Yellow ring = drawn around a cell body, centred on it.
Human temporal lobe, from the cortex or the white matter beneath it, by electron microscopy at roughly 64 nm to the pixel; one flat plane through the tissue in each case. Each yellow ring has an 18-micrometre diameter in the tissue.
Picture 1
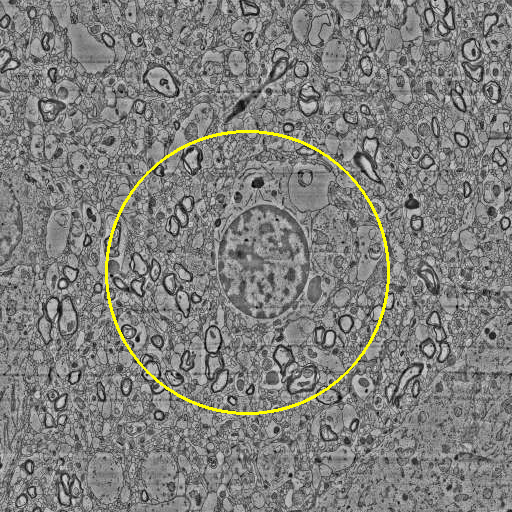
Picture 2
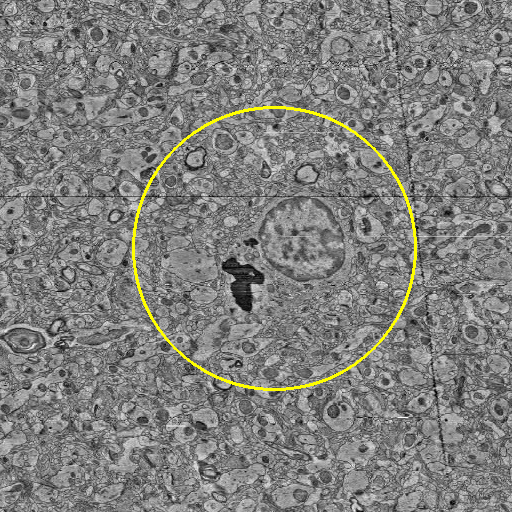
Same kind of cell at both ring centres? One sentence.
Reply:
No, they are two kinds of cell.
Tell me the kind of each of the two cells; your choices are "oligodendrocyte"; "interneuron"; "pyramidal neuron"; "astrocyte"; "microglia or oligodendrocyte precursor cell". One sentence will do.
The ringed cell is a microglial cell or oligodendrocyte precursor cell in the first picture and an oligodendrocyte in the second picture.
